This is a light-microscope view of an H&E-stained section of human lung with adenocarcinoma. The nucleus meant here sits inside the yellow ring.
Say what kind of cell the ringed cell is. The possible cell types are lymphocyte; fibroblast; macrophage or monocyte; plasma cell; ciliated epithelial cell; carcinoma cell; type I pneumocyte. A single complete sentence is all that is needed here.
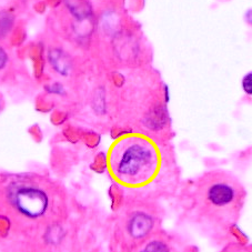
The cell type represented by the ringed cell is that of a macrophage or monocyte.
